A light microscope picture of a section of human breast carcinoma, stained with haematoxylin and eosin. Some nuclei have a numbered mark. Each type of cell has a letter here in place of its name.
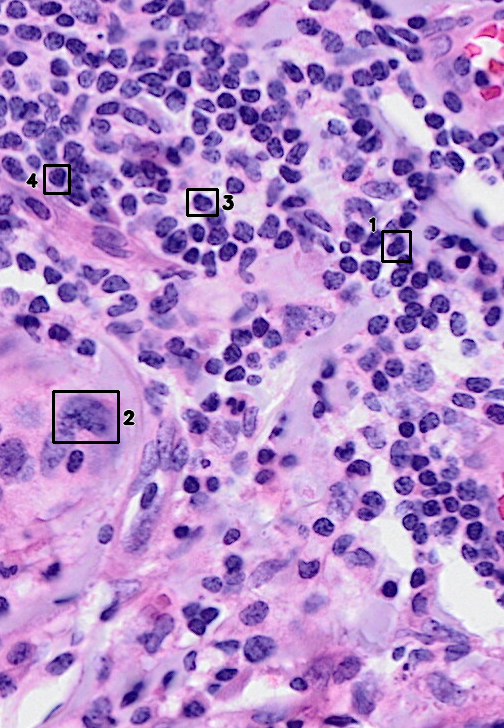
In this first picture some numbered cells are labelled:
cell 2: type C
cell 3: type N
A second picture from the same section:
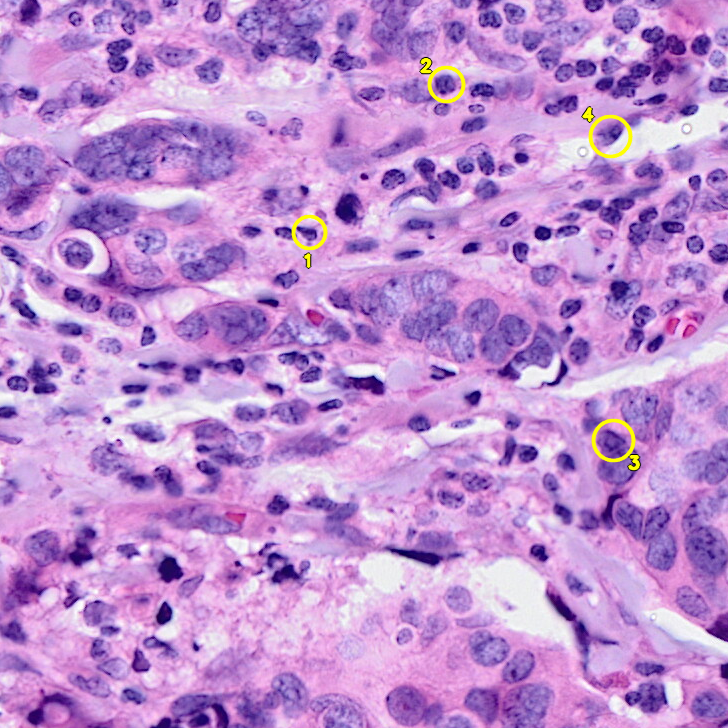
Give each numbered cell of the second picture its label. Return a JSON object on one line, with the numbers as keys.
{"1": "type N", "2": "type N", "3": "type C", "4": "type N"}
